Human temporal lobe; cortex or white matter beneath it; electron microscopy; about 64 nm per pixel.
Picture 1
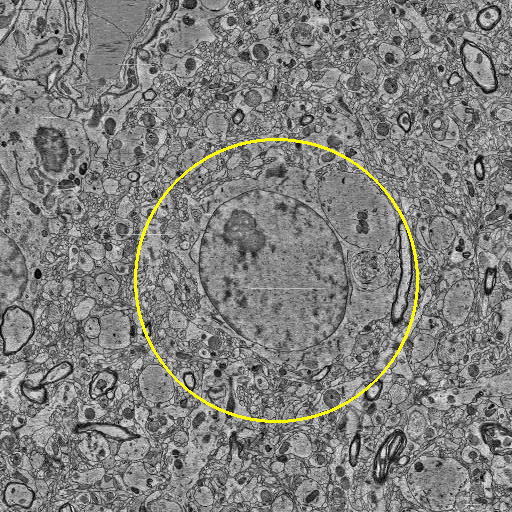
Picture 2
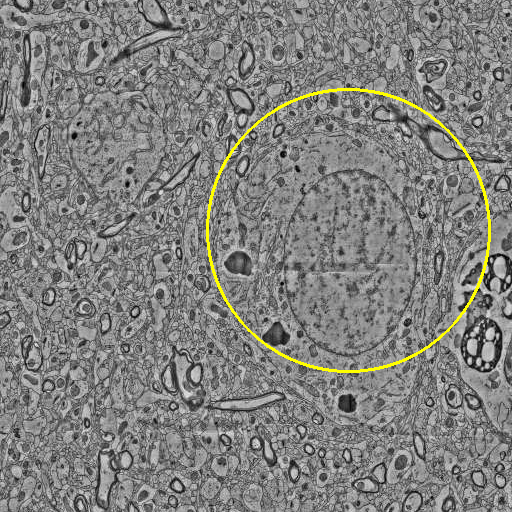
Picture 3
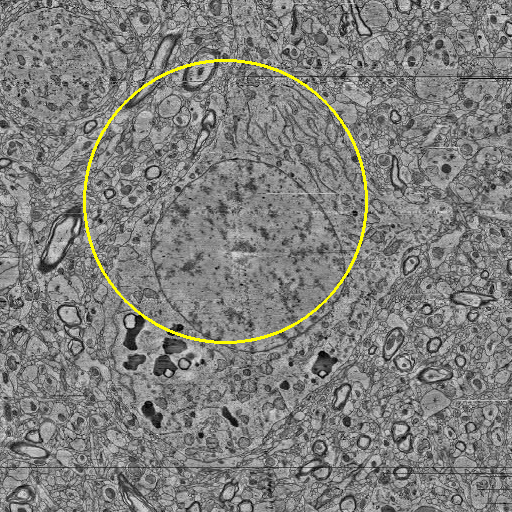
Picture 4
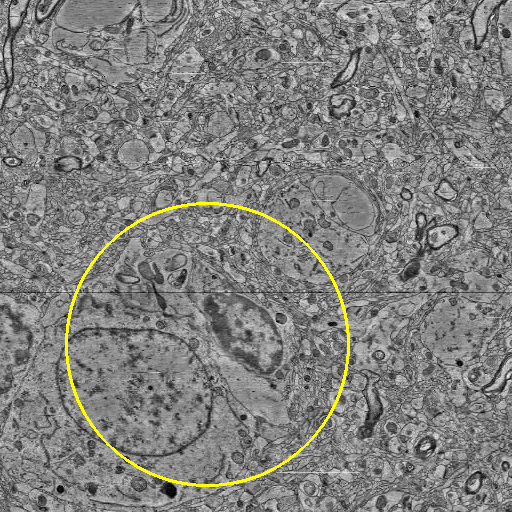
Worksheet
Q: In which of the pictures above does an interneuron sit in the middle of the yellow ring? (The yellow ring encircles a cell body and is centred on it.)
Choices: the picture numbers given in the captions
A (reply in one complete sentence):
In picture 2, the cell sitting at the centre of the ring is the match.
